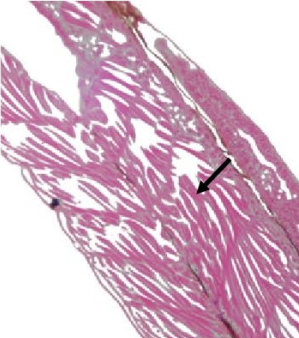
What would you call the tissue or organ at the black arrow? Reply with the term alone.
Muscle fiber.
